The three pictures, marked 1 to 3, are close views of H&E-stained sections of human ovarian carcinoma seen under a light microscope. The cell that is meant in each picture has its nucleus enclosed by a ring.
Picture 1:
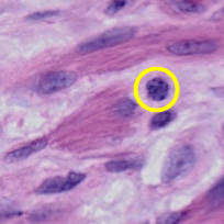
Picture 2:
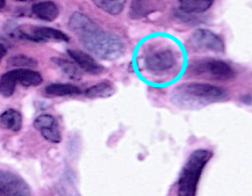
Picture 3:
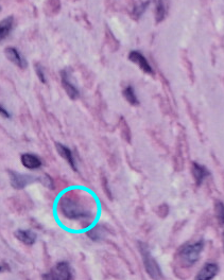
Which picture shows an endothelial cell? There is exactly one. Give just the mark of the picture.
3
